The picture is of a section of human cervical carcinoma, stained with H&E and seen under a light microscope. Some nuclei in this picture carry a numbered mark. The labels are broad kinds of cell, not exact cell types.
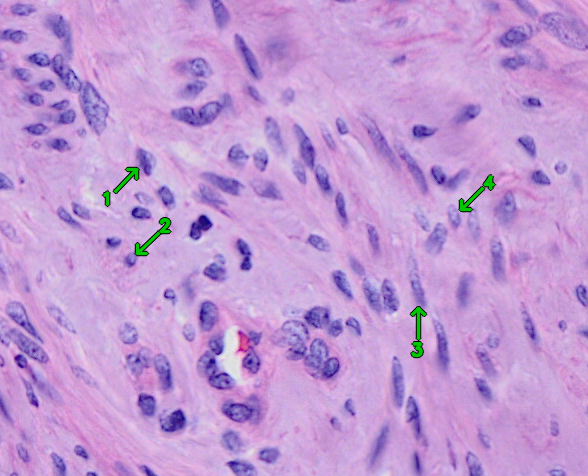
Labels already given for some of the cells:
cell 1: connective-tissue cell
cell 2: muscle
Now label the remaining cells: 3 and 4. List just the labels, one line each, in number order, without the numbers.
connective-tissue cell
muscle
